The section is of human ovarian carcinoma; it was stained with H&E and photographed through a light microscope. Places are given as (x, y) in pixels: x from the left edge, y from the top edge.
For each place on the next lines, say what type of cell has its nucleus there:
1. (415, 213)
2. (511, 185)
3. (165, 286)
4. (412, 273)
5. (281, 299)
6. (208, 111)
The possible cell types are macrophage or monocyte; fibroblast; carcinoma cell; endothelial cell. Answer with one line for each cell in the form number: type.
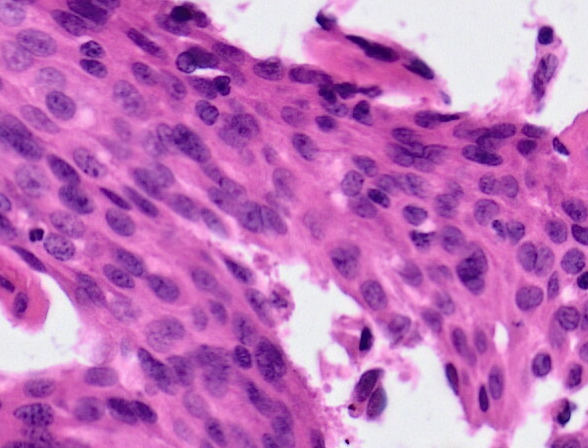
1: macrophage or monocyte
2: carcinoma cell
3: carcinoma cell
4: carcinoma cell
5: macrophage or monocyte
6: macrophage or monocyte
